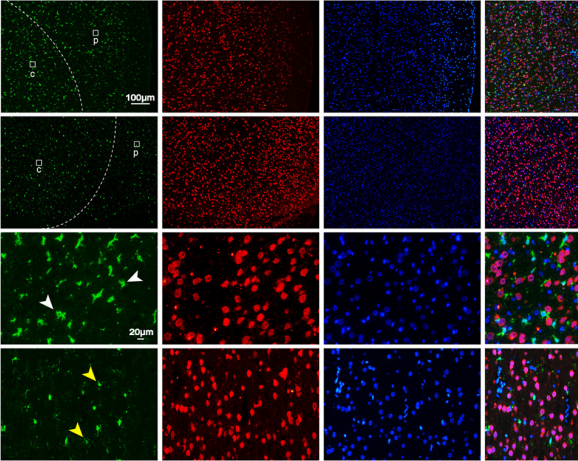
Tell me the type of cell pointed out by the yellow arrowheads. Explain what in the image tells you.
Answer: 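Ramified microglia. The green cells marked have small bodies. Thin processes extend from the cell bodies.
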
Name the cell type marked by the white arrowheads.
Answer: Amoeboid microglia.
